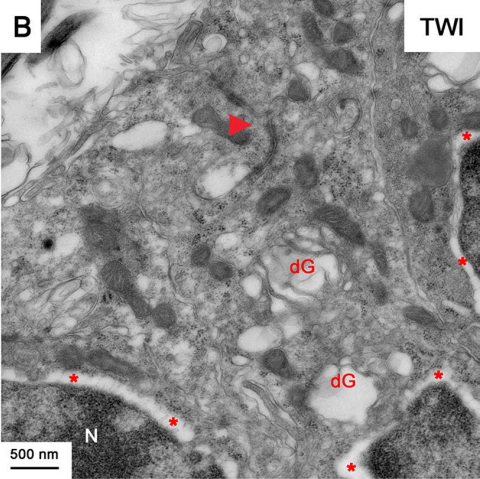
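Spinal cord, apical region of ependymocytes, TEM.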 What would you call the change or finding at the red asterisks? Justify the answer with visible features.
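Gaps separating the two lipid bilayers of the nuclear envelope. The asterisks lie on pale clear bands running along the edge of the dark nuclei. The pale band separates the nuclear contents from the cytoplasm.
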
